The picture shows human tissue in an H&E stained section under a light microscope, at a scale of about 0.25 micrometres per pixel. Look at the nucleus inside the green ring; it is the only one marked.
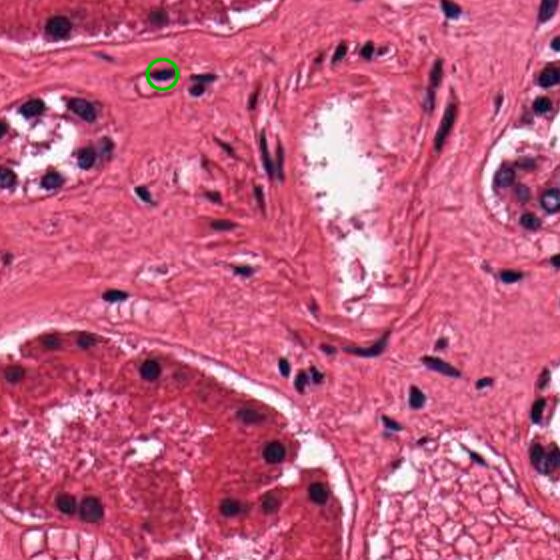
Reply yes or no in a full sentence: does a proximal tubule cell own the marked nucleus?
No, for the marked nucleus, the owning cell is a supporting cell, not a proximal tubule cell.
